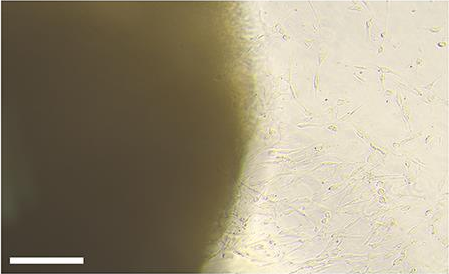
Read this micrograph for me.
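The tissue fragment is dense and opaque, with a slightly fuzzy edge. Next to it, thin elongated cells with long processes lie scattered on the plastic. The cells do not yet form a continuous sheet, and bare areas of the dish are visible between them.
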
